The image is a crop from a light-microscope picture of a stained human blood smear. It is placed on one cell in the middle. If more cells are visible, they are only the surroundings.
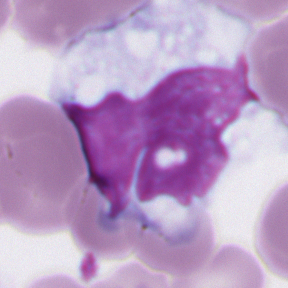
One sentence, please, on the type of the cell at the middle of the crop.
The cell shown in the center of this light-microscope crop is a monocyte.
